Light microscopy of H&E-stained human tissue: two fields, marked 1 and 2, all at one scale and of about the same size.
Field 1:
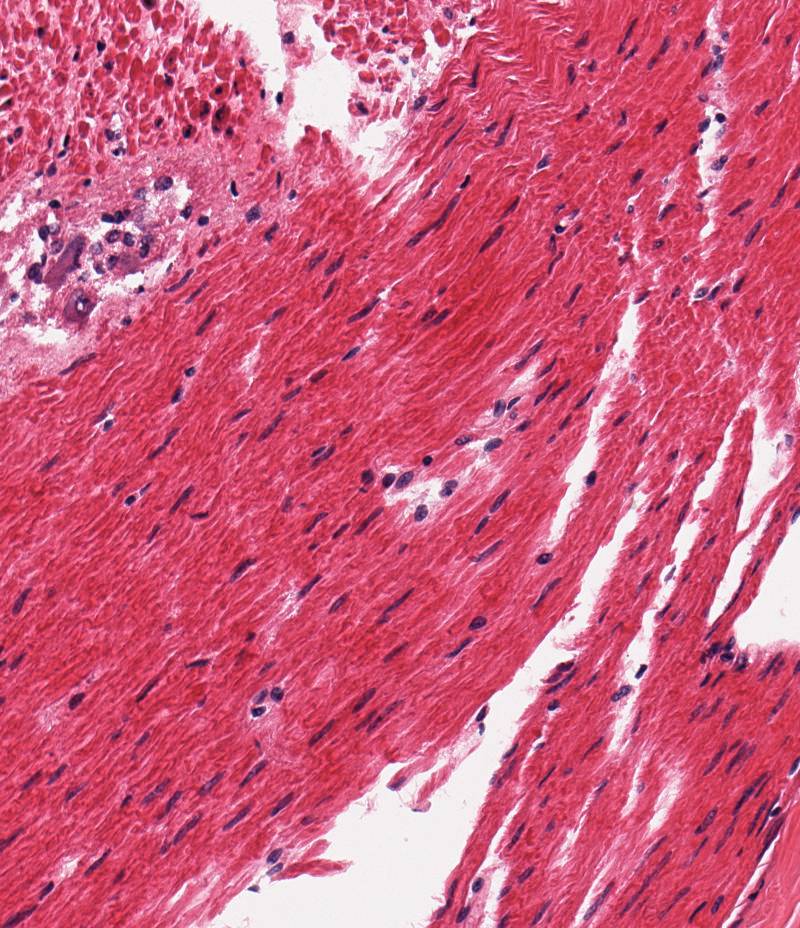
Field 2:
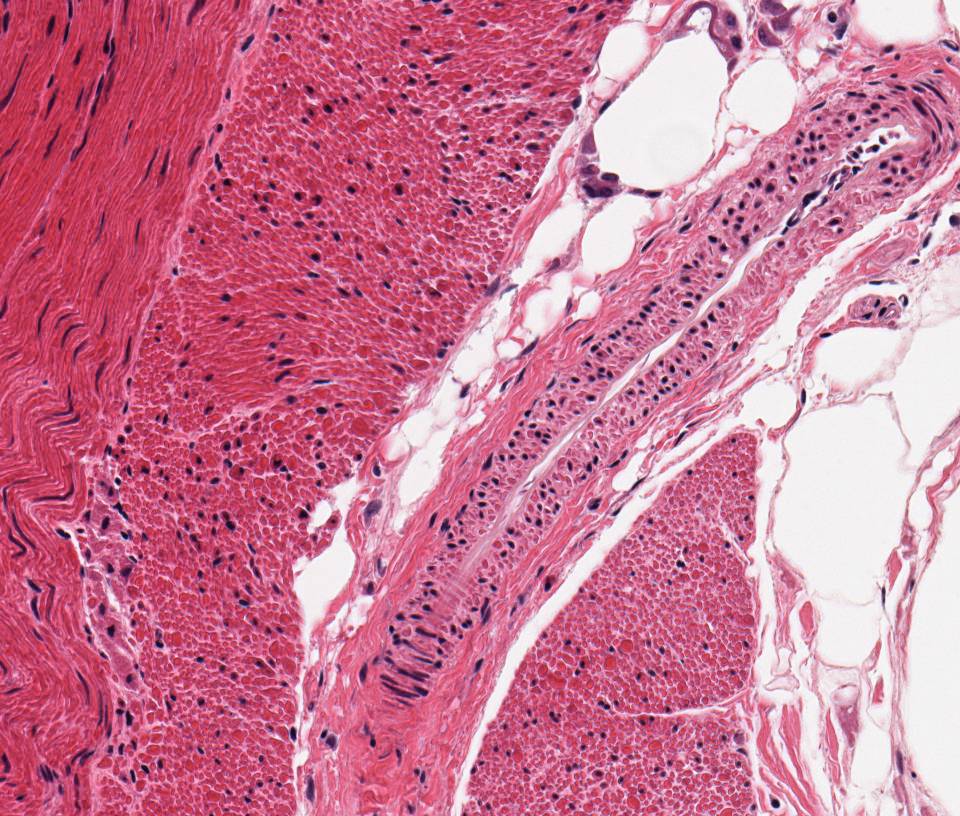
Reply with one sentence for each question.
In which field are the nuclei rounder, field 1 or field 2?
It is field 2 whose nuclei are the rounder.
